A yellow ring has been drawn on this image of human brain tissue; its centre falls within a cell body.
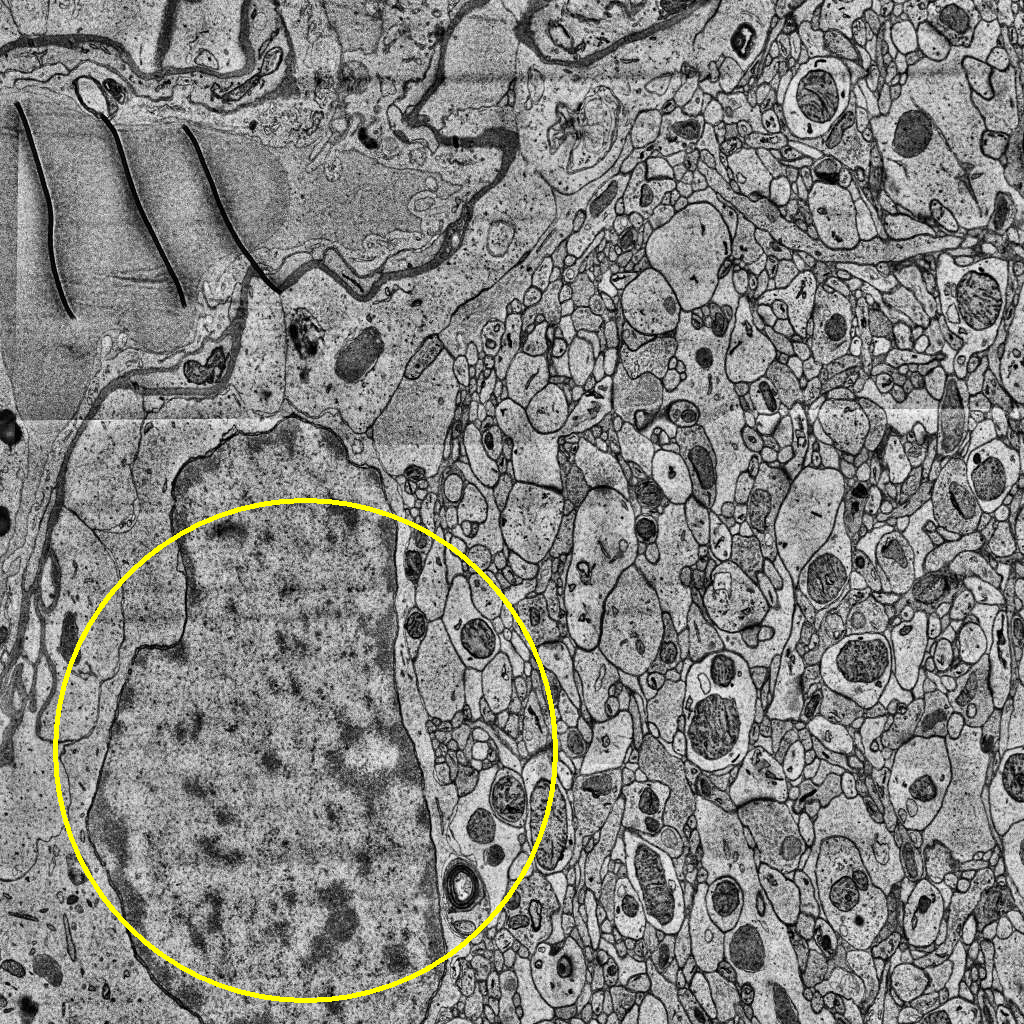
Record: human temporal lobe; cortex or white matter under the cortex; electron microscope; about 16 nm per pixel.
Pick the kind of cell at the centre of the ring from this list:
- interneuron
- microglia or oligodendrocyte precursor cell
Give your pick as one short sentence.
The centre of the ring holds a microglial cell or oligodendrocyte precursor cell.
